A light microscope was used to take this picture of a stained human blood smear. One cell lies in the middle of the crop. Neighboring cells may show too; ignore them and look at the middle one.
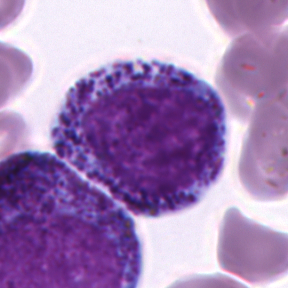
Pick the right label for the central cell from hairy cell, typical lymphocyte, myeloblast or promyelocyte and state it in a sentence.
The cell centered in this field of view is a promyelocyte.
